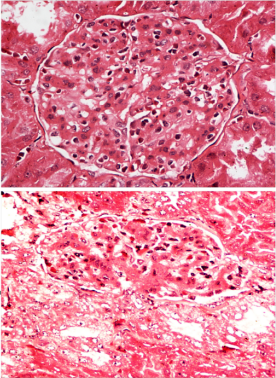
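Both images show kidney cortex with a glomerulus surrounded by tubules stained pink, with purple nuclei. In the upper image the glomerulus is a well-defined rounded tuft of cells within a thin capsule and a clear surrounding space, and the nearby tubular cells have dense pink cytoplasm. In the lower image the glomerulus is less sharply outlined, and the surrounding tubular tissue looks disorganized, with pale, vacuolated areas.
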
